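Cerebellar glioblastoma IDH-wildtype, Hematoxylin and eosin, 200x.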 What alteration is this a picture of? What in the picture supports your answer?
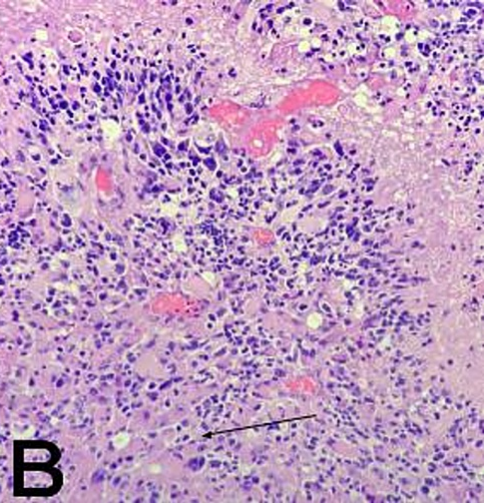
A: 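Nuclear pleomorphism. Nuclei vary greatly in size and shape. Some nuclei are large, dark and irregular, others small and round.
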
